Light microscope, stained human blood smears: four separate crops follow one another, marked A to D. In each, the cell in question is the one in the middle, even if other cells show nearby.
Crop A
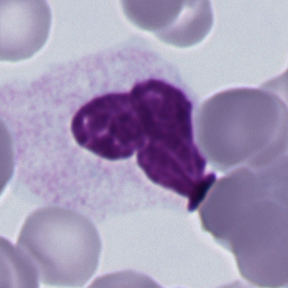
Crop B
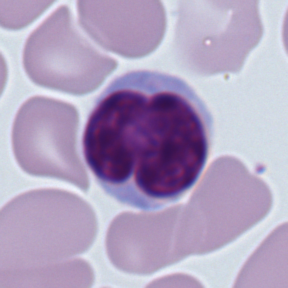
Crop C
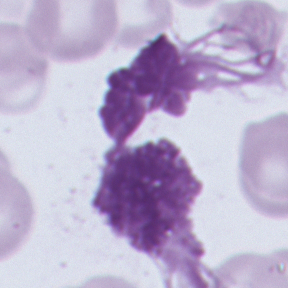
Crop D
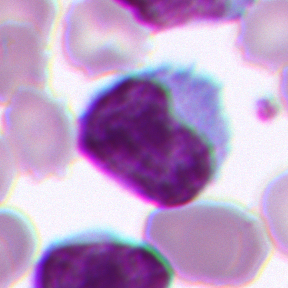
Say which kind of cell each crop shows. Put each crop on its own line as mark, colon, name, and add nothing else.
A: segmented neutrophil
B: typical lymphocyte
C: smudge cell
D: typical lymphocyte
